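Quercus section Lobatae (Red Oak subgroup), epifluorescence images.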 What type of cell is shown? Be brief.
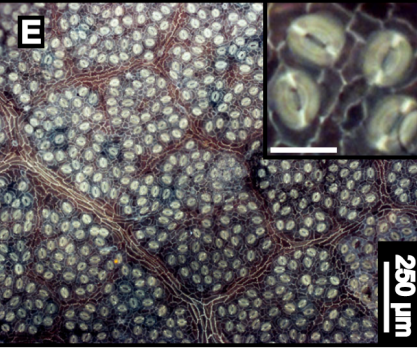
Guard cell.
